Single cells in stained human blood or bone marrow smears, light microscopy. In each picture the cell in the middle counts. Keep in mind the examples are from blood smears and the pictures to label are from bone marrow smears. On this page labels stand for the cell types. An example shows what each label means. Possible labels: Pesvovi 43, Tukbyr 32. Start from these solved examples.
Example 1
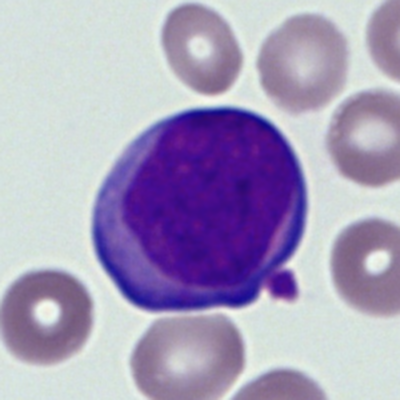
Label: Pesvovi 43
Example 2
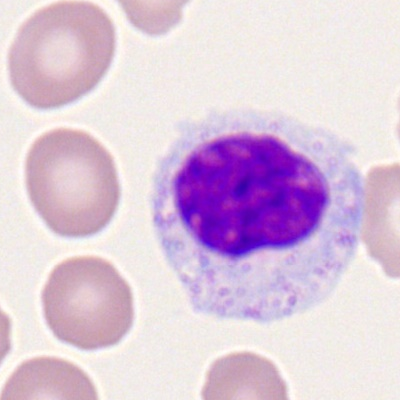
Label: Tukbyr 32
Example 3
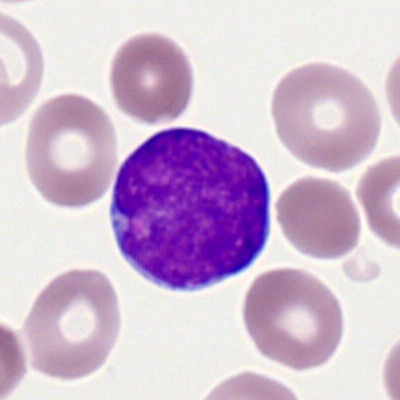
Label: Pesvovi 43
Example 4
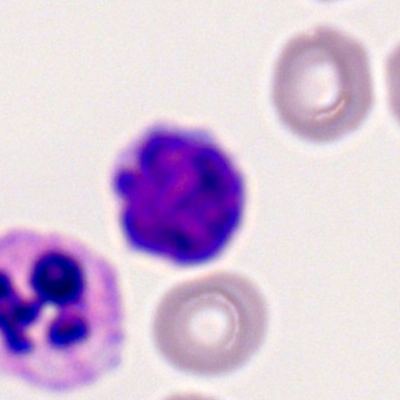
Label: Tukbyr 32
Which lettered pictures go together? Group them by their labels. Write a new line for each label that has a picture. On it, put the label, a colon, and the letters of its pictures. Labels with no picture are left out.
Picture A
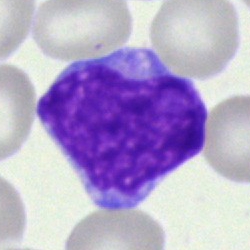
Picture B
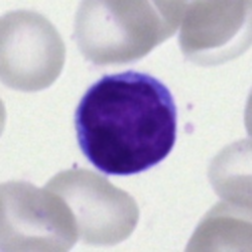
Pesvovi 43: A
Tukbyr 32: B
